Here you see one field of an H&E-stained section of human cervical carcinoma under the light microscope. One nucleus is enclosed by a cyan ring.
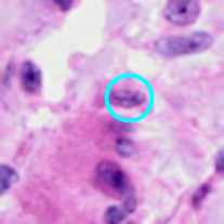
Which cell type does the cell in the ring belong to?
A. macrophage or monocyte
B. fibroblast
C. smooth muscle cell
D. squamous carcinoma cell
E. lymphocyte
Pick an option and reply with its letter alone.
A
